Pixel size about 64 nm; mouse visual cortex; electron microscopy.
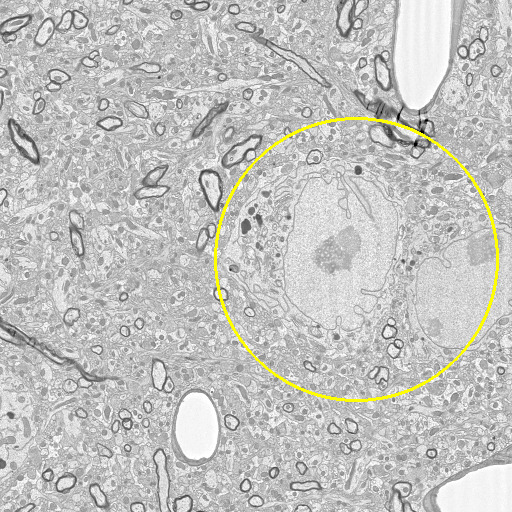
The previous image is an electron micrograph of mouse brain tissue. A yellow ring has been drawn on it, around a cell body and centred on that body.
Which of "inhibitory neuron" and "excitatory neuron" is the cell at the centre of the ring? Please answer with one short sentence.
The cell body at the centre of the ring belongs to an inhibitory neuron.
